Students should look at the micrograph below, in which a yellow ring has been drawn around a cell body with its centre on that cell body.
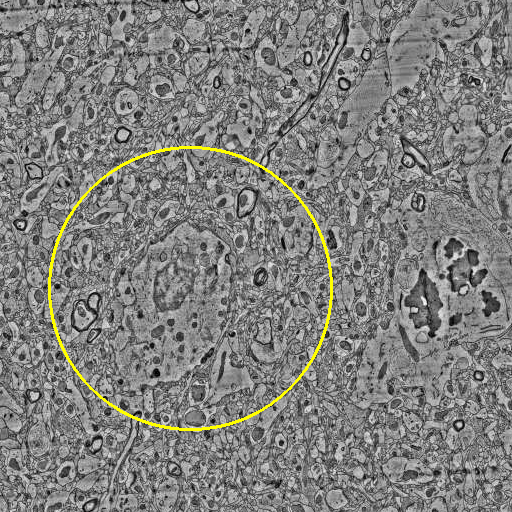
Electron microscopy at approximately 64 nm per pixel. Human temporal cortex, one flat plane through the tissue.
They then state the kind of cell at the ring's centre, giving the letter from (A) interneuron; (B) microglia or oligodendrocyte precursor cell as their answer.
A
